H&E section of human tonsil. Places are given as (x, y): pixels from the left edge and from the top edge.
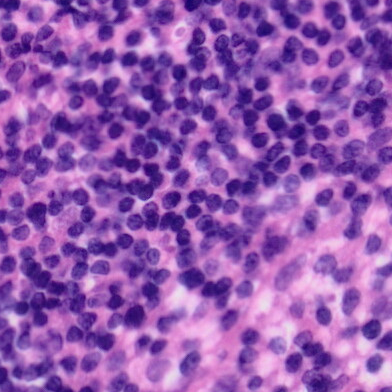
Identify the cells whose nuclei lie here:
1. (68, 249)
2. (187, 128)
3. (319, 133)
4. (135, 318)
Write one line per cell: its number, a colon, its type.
1: small lymphocyte
2: small lymphocyte
3: small lymphocyte
4: proliferating B cell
